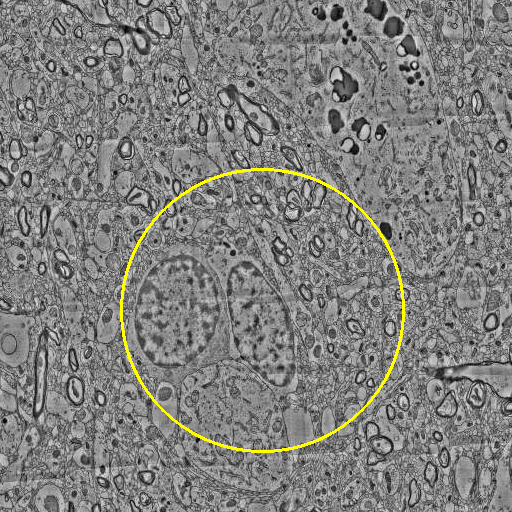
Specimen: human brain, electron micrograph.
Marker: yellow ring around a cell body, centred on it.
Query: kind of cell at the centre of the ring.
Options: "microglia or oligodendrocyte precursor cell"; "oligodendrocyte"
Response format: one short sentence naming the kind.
This cell body belongs to a microglial cell or oligodendrocyte precursor cell.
